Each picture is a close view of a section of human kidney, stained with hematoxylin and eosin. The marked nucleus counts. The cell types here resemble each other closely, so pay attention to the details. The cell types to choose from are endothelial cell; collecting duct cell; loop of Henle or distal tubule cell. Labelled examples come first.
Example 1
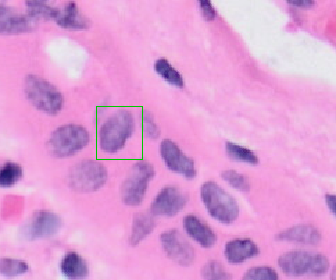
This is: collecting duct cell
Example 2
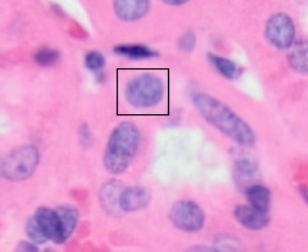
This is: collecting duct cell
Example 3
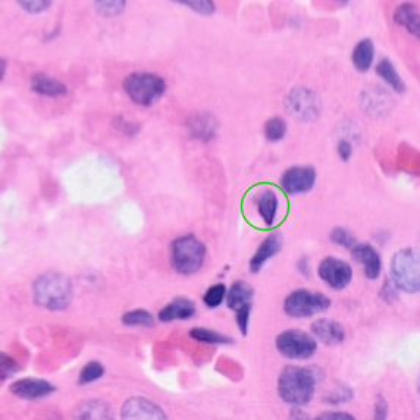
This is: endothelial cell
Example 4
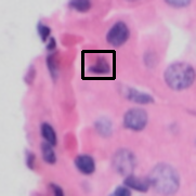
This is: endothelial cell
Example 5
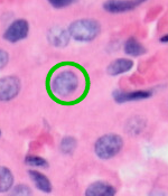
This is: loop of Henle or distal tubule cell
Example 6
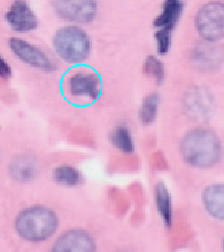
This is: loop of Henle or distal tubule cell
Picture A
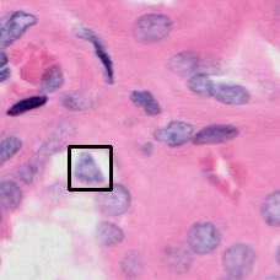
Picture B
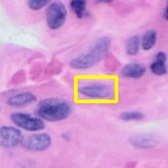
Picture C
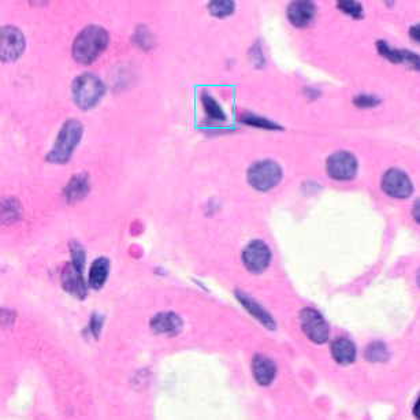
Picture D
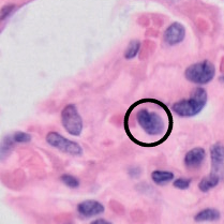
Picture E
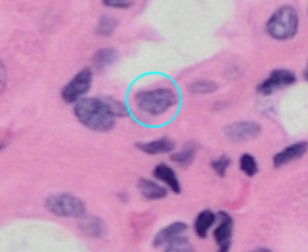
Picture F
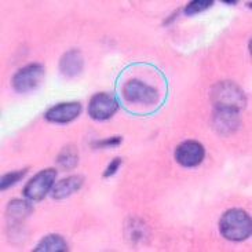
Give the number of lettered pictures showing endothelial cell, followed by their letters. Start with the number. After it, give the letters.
3, namely B, C, D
